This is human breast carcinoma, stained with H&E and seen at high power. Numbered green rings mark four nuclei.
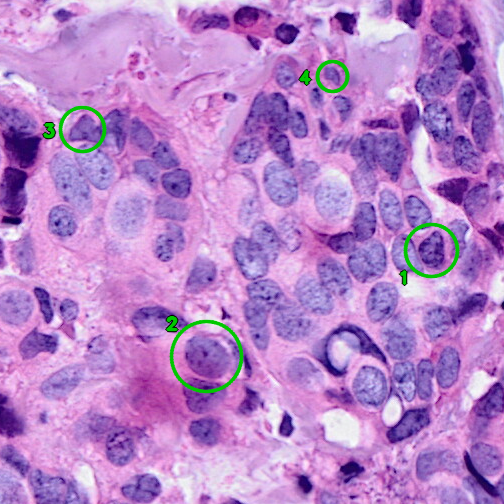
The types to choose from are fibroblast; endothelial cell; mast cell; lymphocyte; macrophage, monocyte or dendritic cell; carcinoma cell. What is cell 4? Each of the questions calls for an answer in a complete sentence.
Belonging to an endothelial cell is the nucleus that carries the number 4.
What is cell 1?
Of the numbered cells, the one labelled 1 is a carcinoma cell.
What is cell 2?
Number 2 is placed on a carcinoma cell here.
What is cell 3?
In this section, the cell numbered 3 is a carcinoma cell.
